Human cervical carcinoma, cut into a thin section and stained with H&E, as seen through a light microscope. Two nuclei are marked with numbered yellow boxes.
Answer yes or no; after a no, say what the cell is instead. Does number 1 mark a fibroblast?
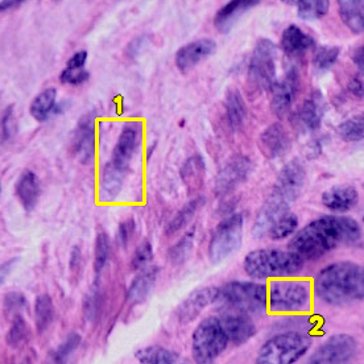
Yes.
